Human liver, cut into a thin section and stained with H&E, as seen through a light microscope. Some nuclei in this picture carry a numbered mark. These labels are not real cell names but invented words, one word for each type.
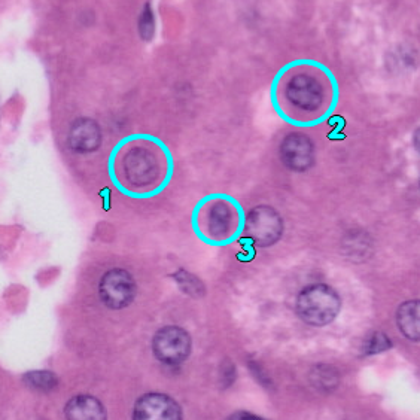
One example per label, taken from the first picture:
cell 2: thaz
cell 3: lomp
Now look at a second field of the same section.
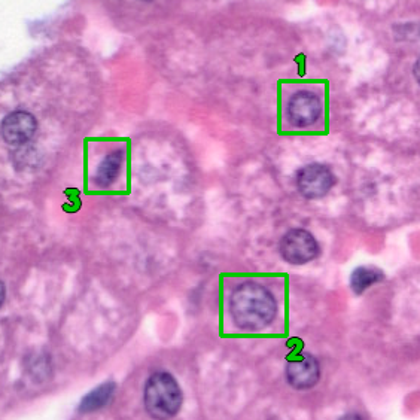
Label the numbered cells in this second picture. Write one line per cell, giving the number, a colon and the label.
1: thaz
2: thaz
3: lomp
